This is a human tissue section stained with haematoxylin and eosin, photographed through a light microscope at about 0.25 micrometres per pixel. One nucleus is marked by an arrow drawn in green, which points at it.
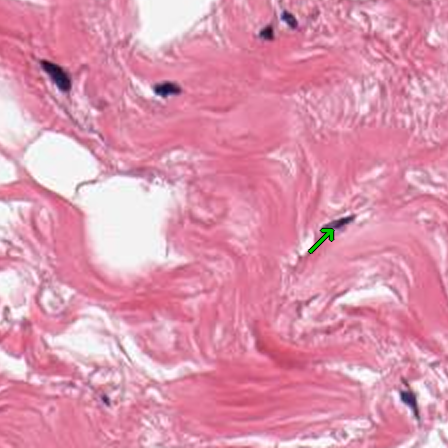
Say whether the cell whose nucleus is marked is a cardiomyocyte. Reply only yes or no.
no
